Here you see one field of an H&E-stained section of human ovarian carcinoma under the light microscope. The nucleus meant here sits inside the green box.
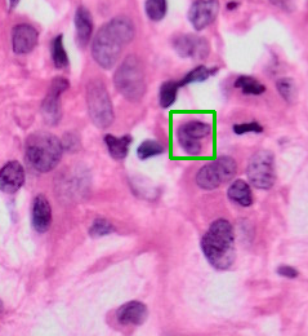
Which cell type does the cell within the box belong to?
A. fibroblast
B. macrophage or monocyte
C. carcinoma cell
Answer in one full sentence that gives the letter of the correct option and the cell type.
What option B states, that the cell within the box is a macrophage or monocyte, is correct.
